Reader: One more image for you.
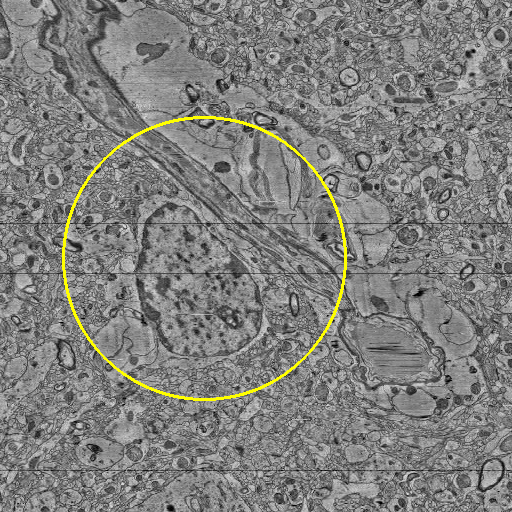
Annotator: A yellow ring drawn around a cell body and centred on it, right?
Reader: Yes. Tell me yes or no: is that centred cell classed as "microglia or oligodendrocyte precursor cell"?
yes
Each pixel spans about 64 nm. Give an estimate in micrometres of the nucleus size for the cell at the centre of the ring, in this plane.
The nucleus appears roughly 10 by 7 micrometres in this plane.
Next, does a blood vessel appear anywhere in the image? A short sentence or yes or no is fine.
Yes, a blood vessel can be seen.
